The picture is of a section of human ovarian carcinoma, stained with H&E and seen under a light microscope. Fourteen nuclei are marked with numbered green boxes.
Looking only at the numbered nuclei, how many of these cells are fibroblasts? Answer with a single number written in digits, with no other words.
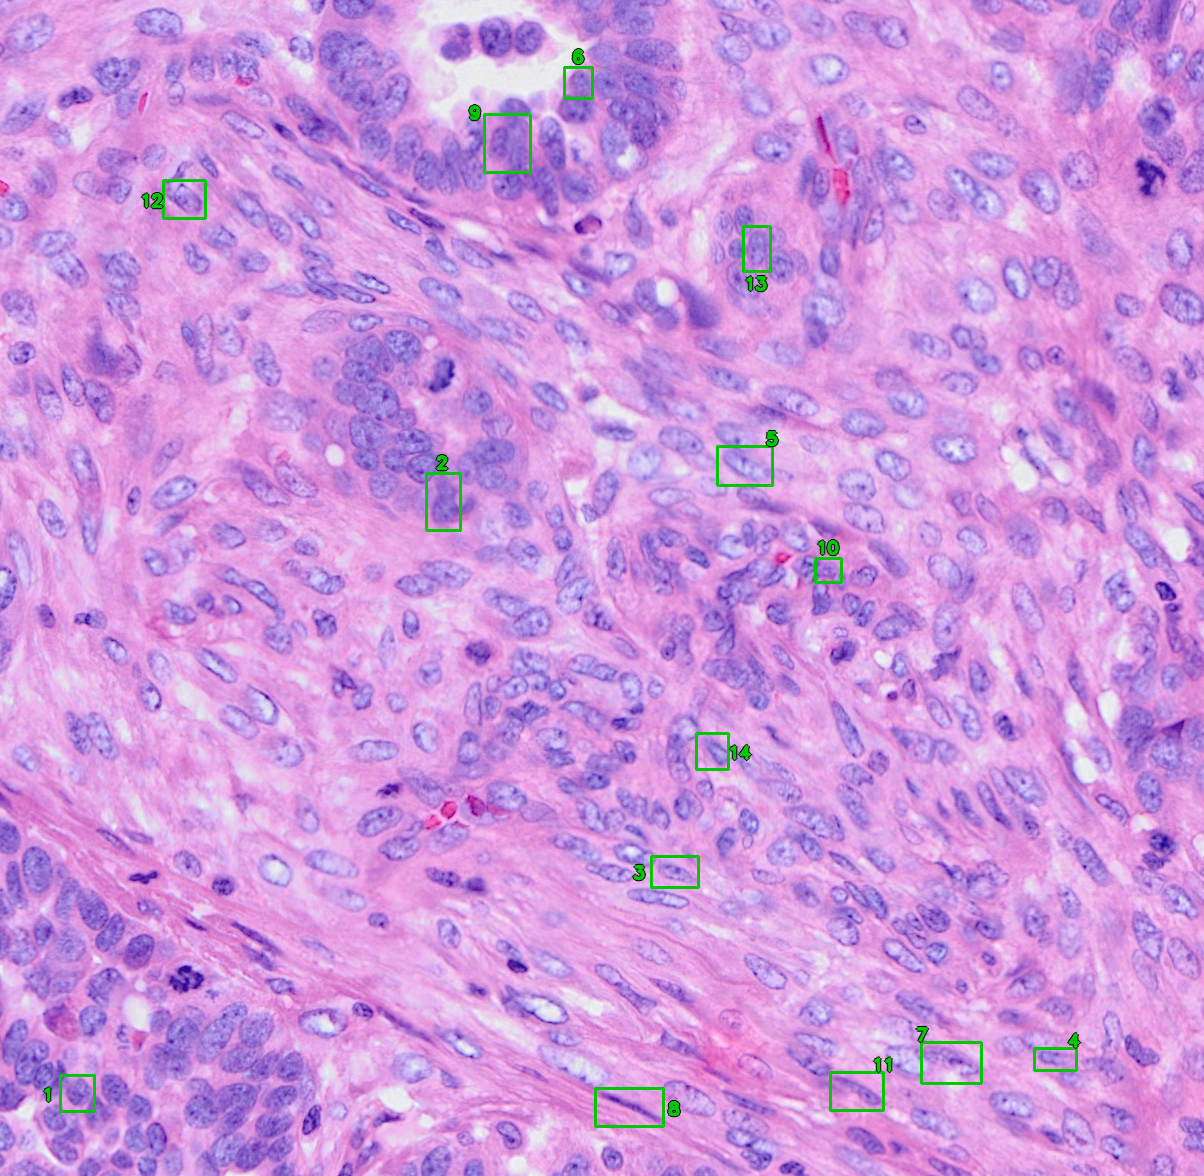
8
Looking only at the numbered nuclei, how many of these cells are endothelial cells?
1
